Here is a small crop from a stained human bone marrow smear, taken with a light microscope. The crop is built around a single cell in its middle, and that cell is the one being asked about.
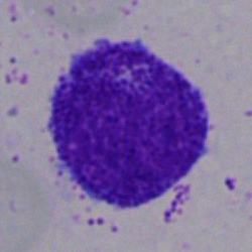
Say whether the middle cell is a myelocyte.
no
